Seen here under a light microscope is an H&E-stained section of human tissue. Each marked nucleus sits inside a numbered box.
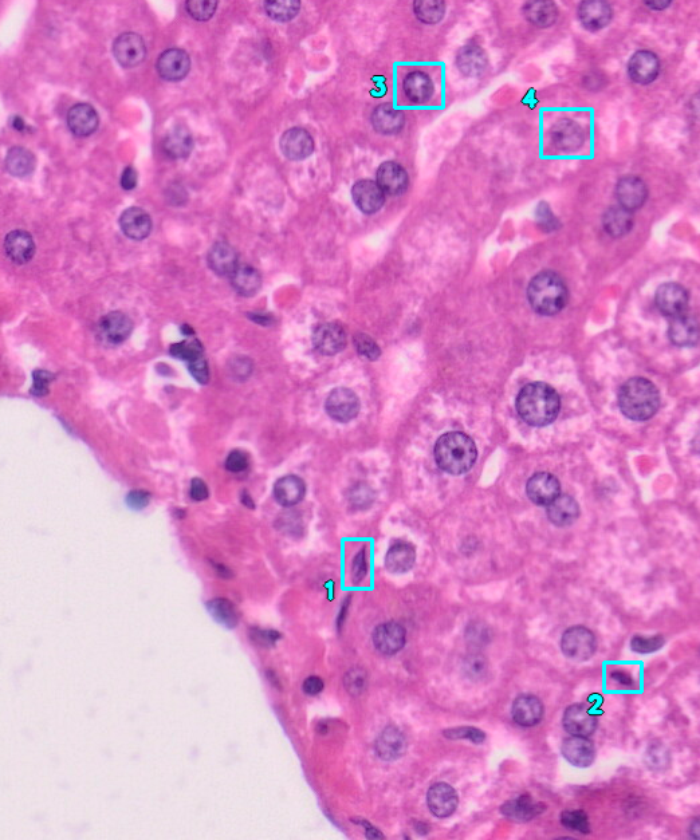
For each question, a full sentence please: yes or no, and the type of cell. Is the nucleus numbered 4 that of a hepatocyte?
Yes. The cell carrying number 4 is a hepatocyte.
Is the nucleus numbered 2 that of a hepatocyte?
No, number 2 is not a hepatocyte but a fibroblast or stellate cell.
